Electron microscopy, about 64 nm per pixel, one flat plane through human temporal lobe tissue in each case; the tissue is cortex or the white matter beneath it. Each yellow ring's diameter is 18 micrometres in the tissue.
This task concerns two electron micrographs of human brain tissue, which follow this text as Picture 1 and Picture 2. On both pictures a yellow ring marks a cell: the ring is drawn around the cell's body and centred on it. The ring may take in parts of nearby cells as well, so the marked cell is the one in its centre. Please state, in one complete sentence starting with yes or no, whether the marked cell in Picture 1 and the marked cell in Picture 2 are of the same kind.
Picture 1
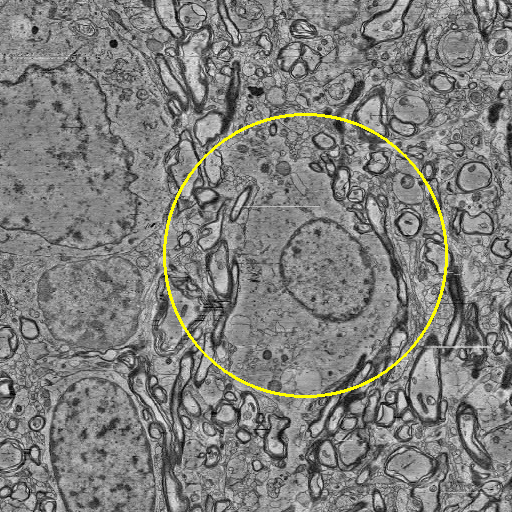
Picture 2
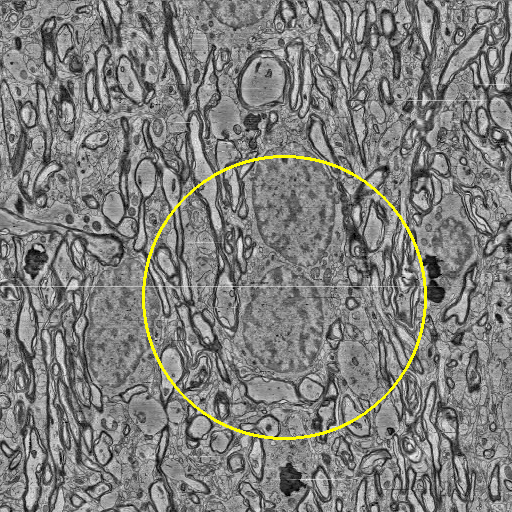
No, the marked cells in the two pictures are of two kinds.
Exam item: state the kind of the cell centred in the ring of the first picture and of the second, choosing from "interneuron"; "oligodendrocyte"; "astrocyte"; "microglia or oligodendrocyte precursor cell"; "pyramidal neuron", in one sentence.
The first picture shows an astrocyte at the ring centre and the second shows an oligodendrocyte.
